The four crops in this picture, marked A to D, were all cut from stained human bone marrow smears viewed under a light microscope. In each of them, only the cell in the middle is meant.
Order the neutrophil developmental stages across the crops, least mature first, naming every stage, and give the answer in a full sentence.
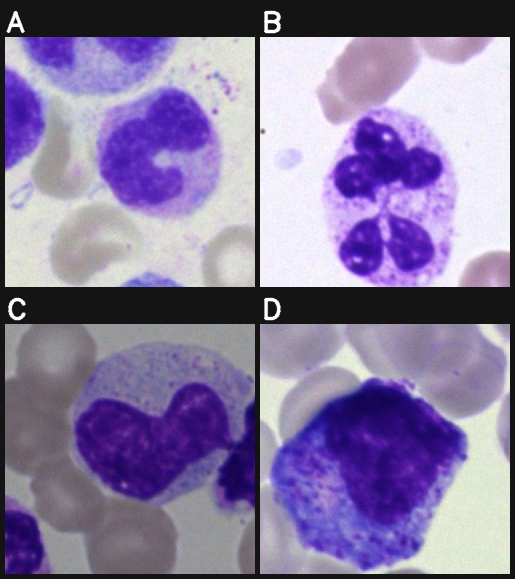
From least to most mature, the order is crop D (a promyelocyte), crop C (a metamyelocyte), crop A (a band neutrophil) and crop B (a segmented neutrophil).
